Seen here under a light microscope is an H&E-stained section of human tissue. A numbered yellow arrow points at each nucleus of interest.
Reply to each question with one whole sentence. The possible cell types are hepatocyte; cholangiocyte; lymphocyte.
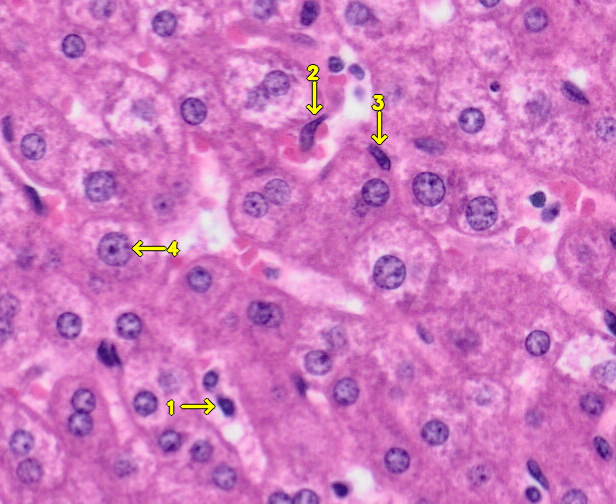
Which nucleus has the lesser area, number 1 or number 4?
It is nucleus 1; nucleus 4 has about 2.5 times its area.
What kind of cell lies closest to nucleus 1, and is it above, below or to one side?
The closest nucleus belongs to a lymphocyte and sits above and to the left of nucleus 1.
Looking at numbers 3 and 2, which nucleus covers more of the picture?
Nucleus 2 covers more area, about 1.5 times as much as nucleus 3.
